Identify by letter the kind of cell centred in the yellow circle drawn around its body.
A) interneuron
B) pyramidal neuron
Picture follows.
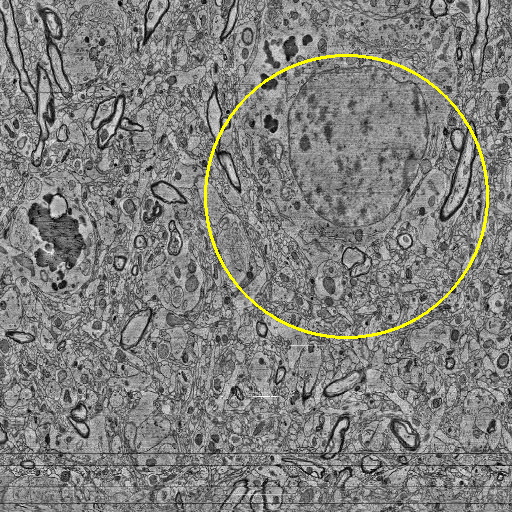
A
